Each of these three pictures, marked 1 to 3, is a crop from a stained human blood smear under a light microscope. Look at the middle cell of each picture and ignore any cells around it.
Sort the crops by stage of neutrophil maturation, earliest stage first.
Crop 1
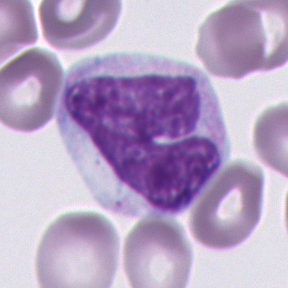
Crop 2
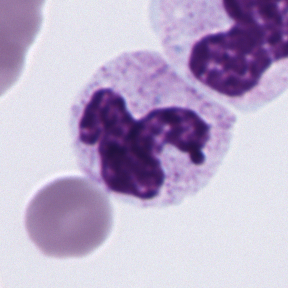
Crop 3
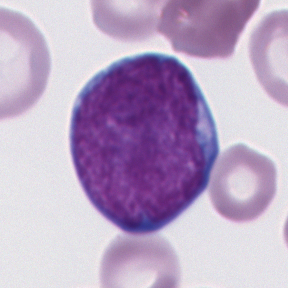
3, 1, 2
